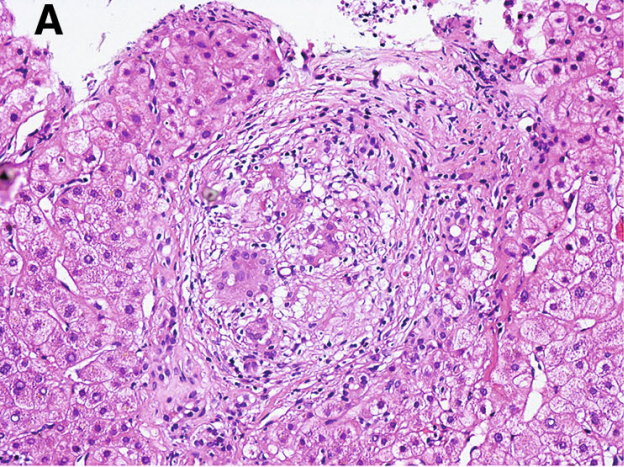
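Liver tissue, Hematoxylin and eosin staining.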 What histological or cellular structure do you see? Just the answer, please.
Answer: Non-caseating granuloma.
